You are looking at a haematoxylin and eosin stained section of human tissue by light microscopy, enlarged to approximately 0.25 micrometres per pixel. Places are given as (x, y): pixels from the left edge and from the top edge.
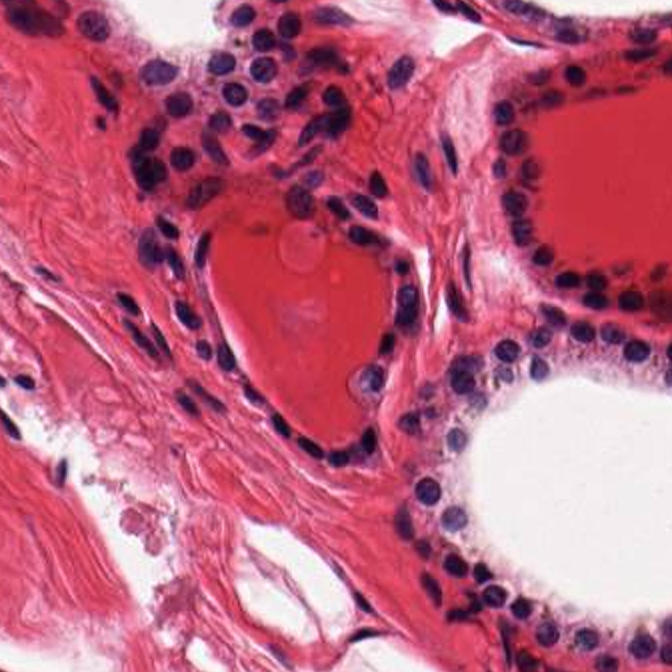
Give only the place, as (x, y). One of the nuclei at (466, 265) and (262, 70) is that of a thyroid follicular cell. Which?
(262, 70)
